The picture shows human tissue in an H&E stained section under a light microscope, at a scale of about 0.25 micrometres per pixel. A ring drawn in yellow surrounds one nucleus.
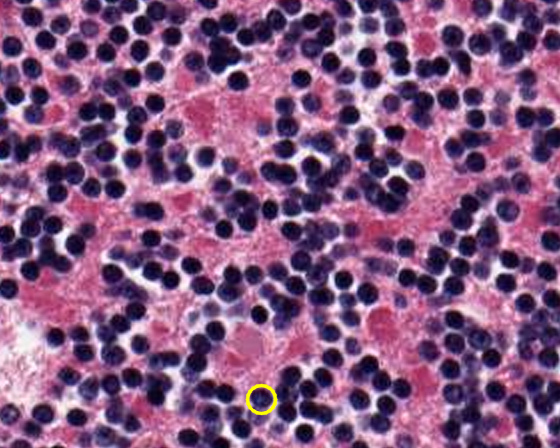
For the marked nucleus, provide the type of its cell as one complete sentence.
The marked nucleus here is the nucleus of a cerebellar granule cell.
